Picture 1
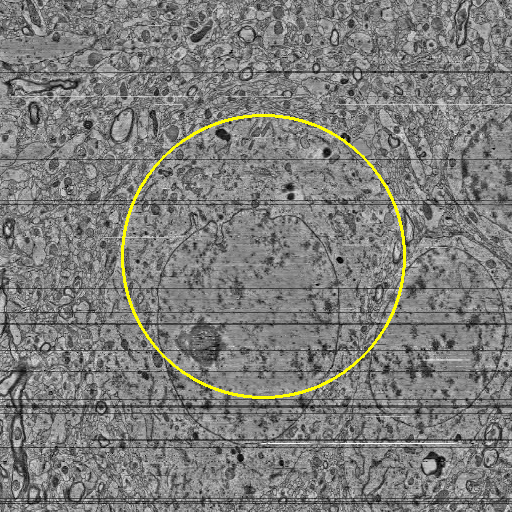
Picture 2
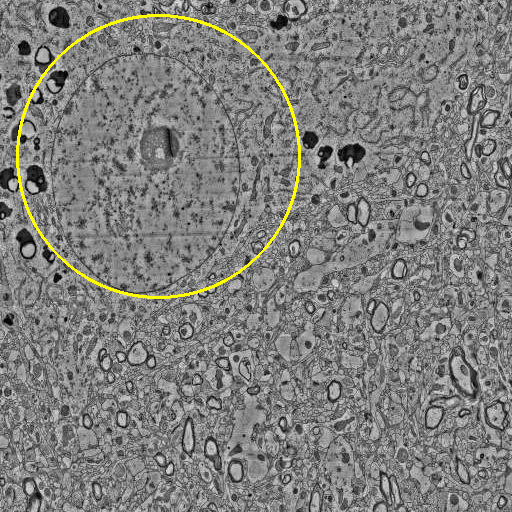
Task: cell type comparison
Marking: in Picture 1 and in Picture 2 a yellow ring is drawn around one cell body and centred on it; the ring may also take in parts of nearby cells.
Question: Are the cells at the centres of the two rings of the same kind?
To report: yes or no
yes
